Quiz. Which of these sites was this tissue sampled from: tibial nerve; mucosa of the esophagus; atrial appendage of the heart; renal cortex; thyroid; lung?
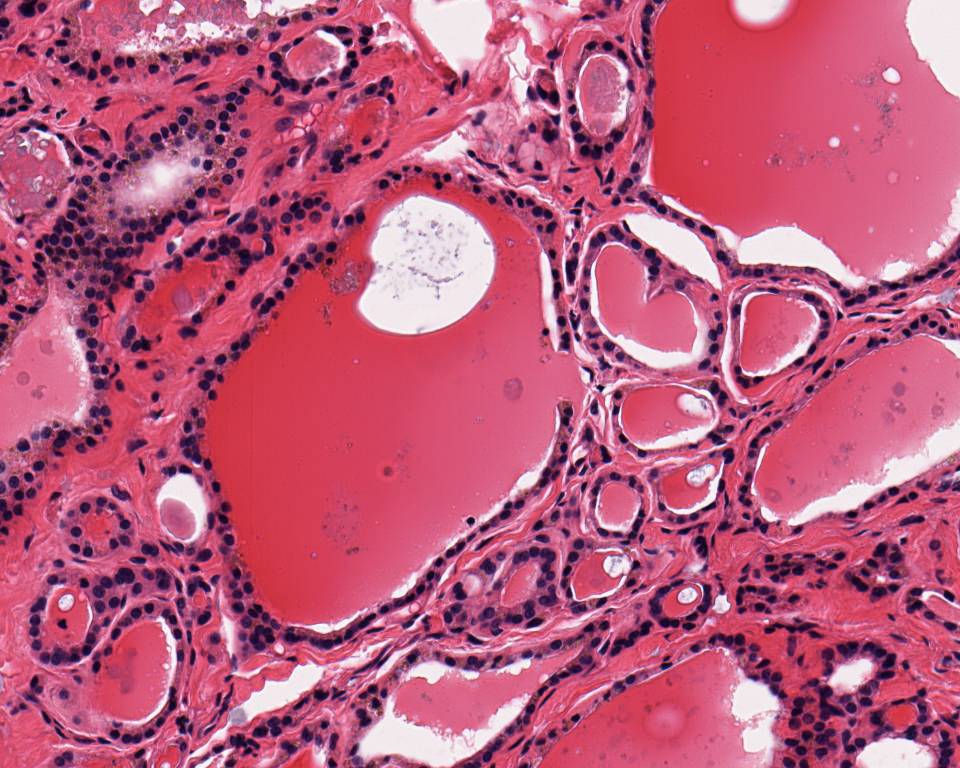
thyroid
